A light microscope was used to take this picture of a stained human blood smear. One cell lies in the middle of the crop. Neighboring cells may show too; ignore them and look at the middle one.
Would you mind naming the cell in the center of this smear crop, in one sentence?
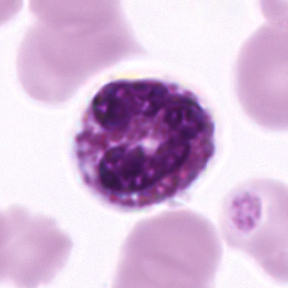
By classification, the middle cell of this crop is an eosinophil.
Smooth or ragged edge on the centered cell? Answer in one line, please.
Its periphery is smooth, and no projections arise from it.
